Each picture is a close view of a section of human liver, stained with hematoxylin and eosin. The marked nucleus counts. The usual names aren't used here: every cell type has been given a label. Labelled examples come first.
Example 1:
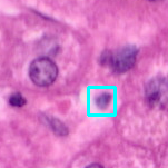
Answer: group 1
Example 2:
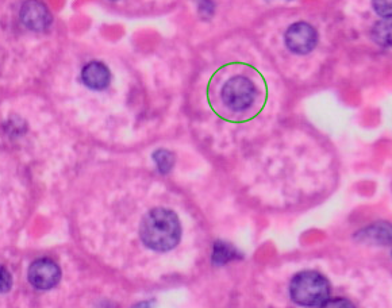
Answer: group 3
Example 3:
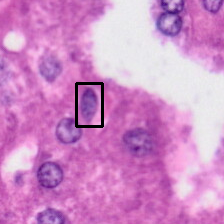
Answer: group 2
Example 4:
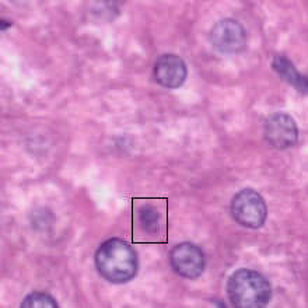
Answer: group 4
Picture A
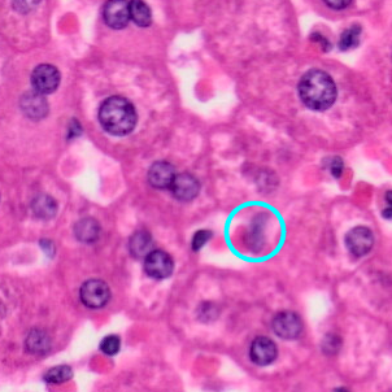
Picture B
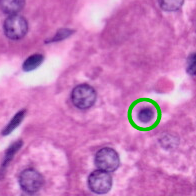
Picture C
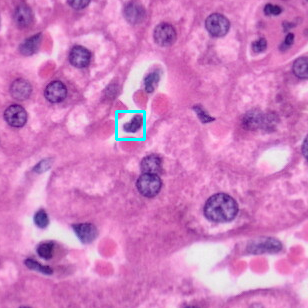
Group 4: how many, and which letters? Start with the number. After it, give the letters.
0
